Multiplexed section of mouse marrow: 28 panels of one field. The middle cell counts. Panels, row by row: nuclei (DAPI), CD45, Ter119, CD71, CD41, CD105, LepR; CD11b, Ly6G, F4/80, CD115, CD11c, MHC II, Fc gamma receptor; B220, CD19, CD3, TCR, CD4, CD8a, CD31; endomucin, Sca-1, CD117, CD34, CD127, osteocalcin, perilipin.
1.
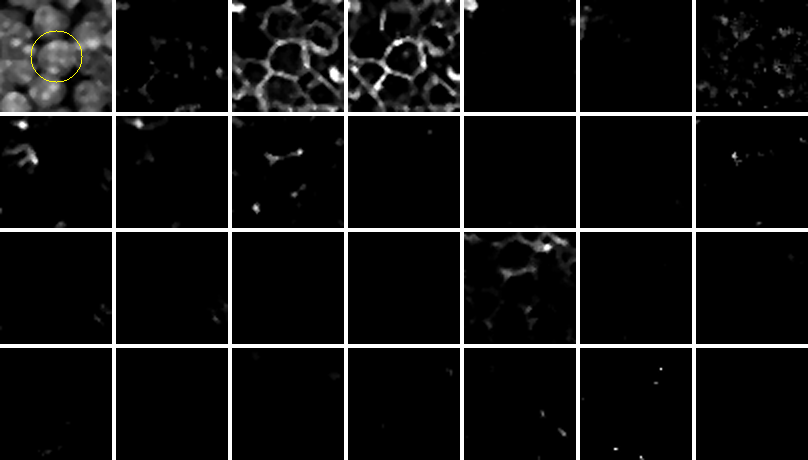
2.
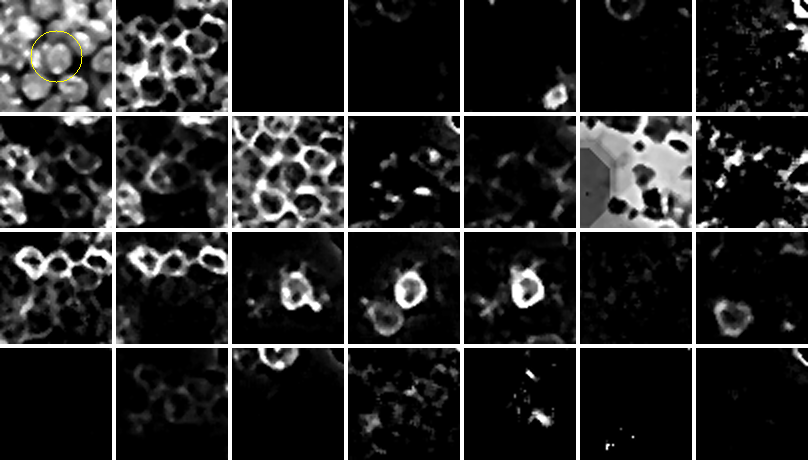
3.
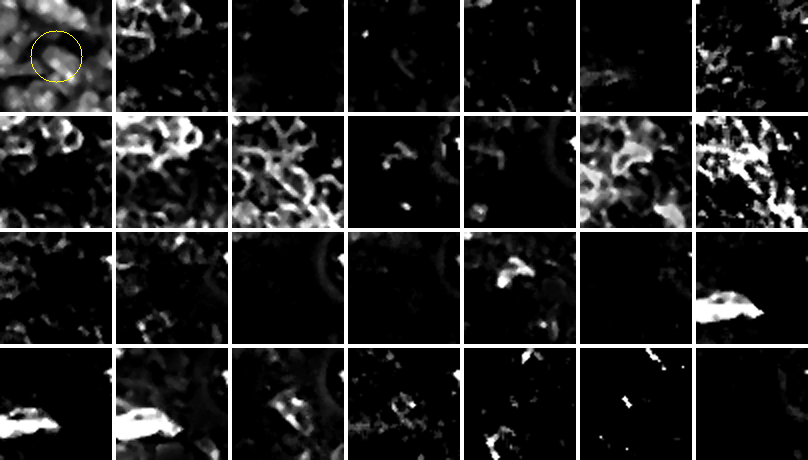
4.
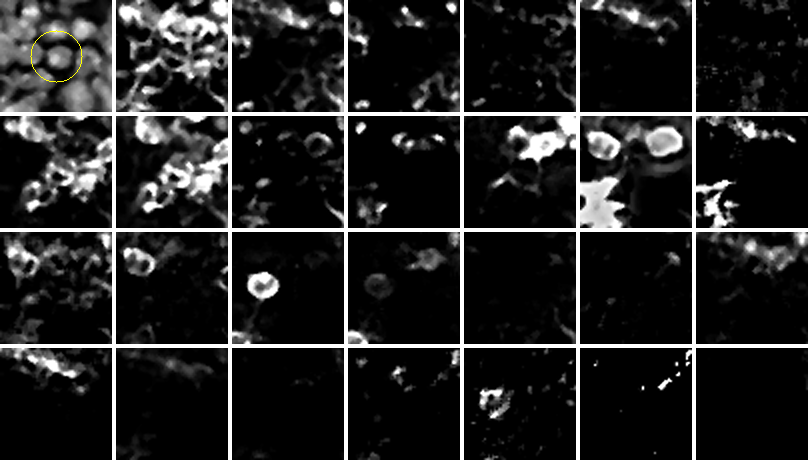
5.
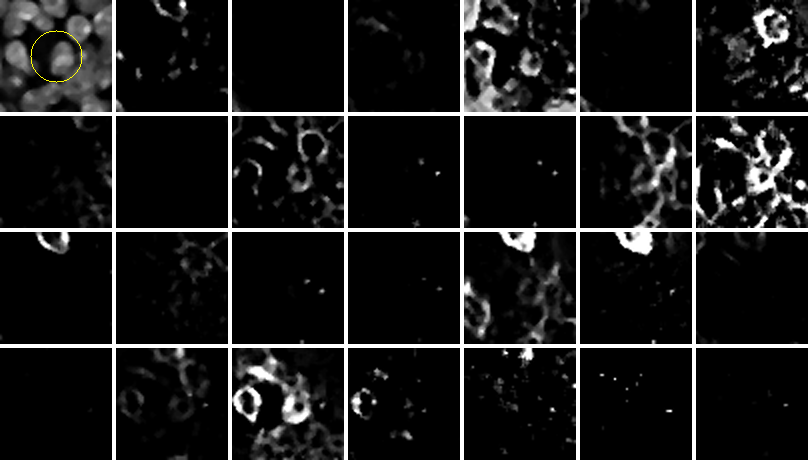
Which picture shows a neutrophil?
Picture 4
